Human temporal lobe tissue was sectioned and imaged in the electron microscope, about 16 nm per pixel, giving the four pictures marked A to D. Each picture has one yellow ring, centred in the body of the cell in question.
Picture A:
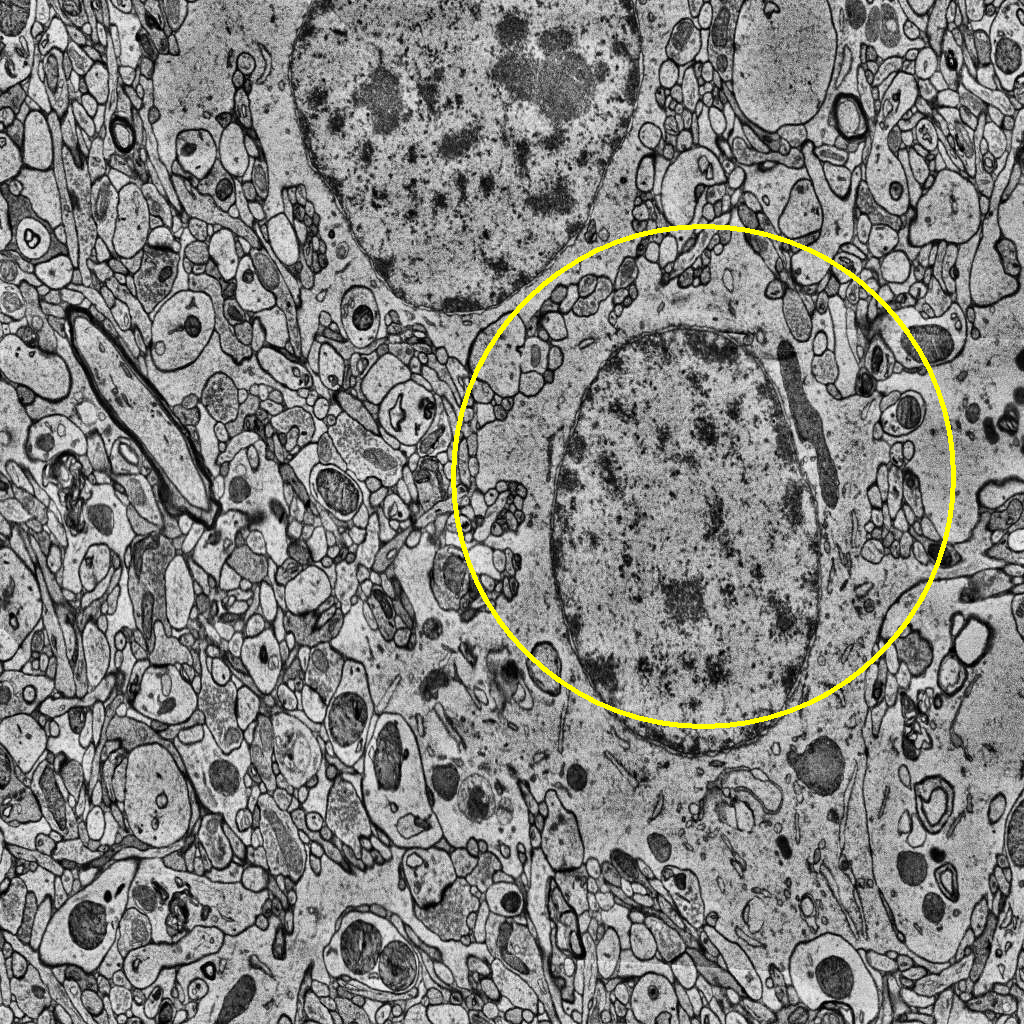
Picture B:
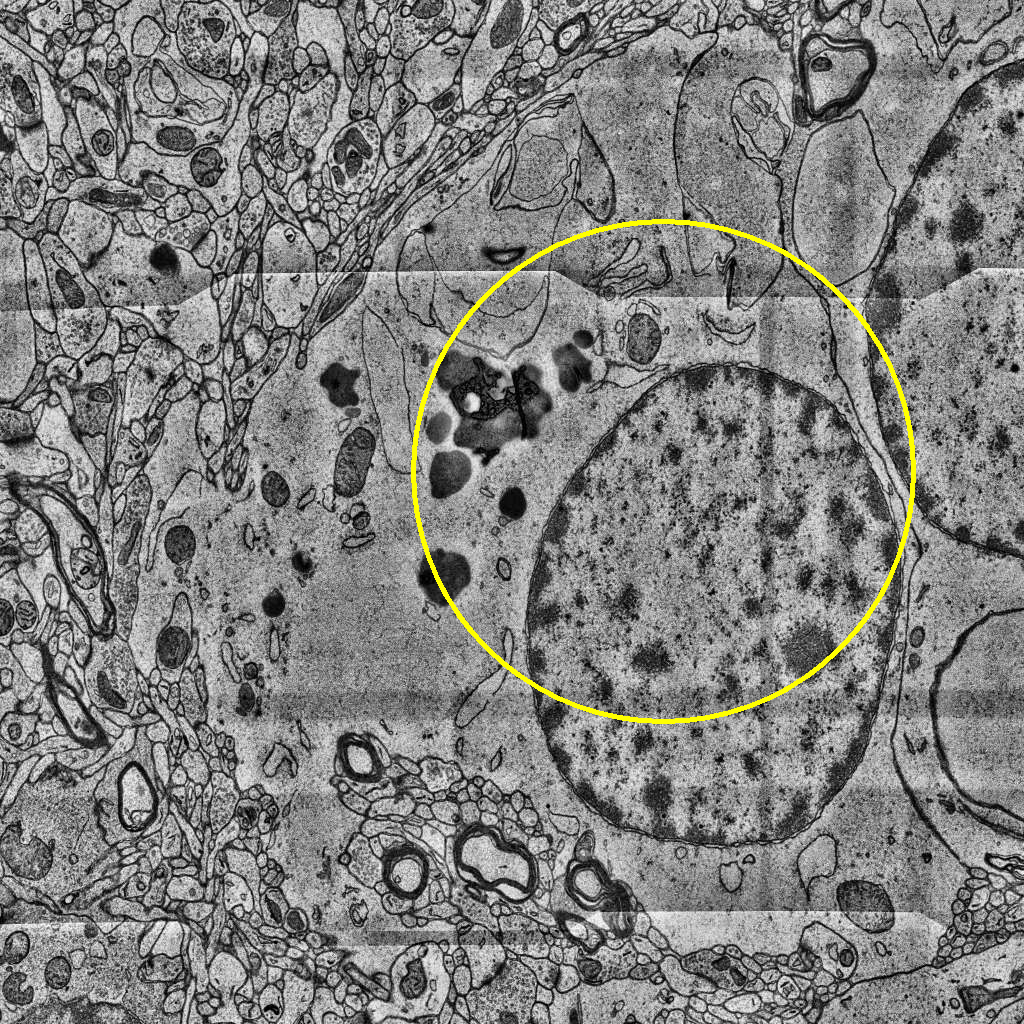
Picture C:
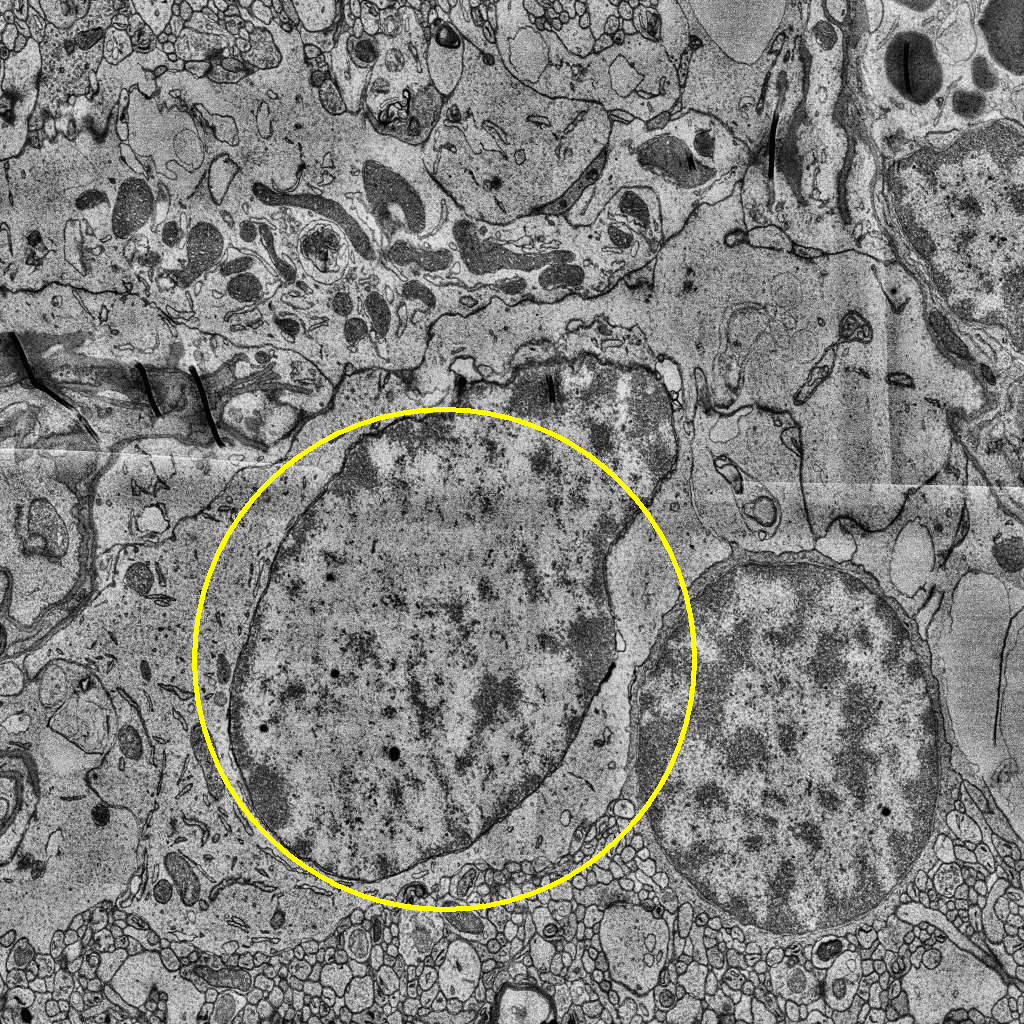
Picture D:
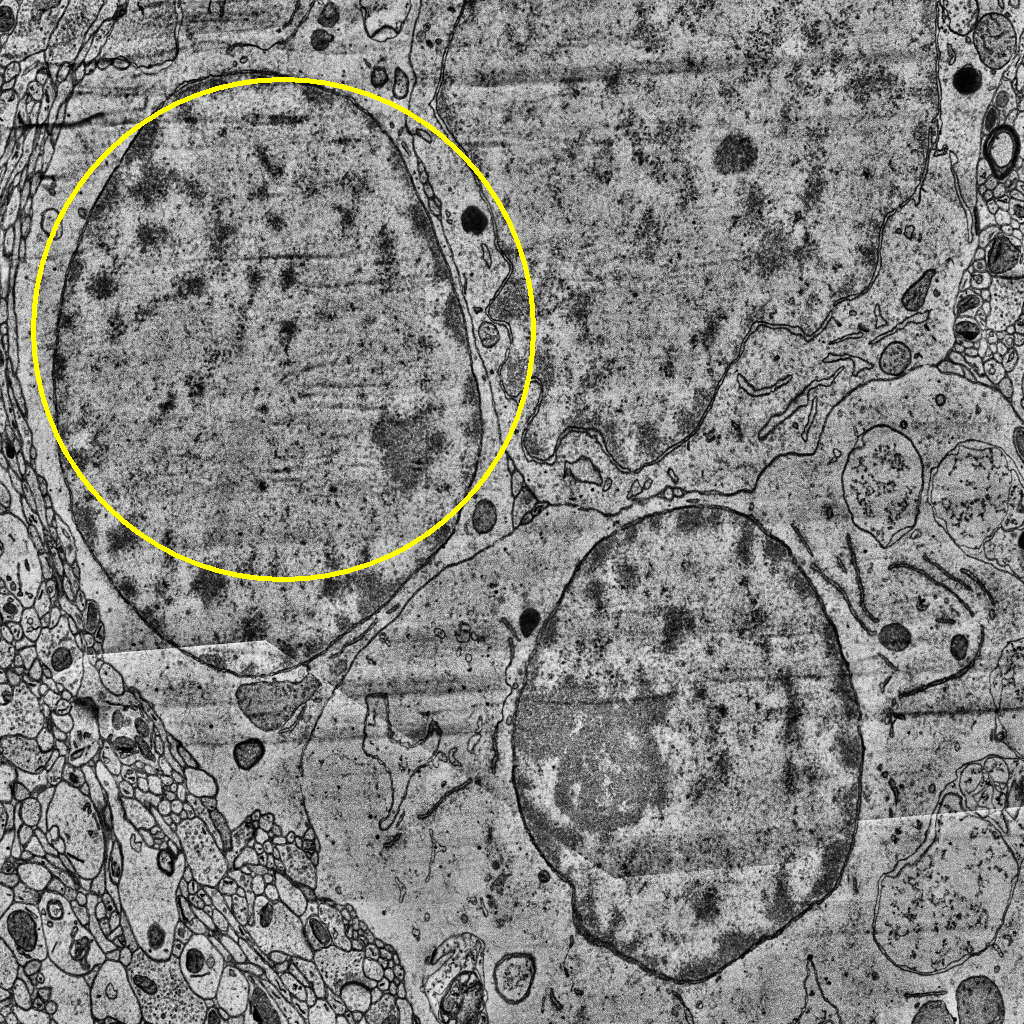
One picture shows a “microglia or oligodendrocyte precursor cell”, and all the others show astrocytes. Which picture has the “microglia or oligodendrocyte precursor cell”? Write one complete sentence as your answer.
The cell in picture C is the “microglia or oligodendrocyte precursor cell”.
